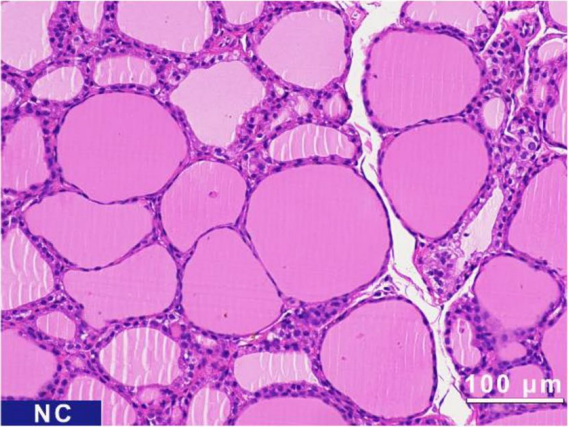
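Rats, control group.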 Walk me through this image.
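Thyroid tissue made of closely packed follicles of varied size, each filled with homogeneous pink colloid. The follicles are lined by a single layer of flattened to low cuboidal epithelial cells whose small, dark purple nuclei sit at the rim of each follicle. Between neighbouring follicles lies only a thin interstitium holding small clusters of cells with purple nuclei. The follicle walls run as continuous thin lines around the colloid. The colloid of several large follicles shows faint parallel streaks and a narrow cleft crosses the tissue, features of sectioning.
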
